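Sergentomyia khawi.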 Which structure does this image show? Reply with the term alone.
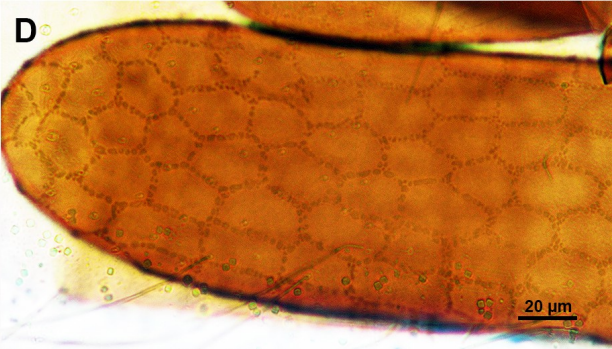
polygonal pattern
